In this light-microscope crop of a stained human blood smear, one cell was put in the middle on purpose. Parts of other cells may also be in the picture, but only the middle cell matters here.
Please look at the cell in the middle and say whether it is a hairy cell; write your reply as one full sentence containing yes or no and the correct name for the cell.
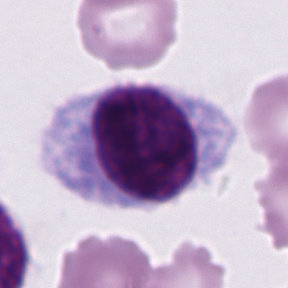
Yes, the middle cell is classified as a hairy cell.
